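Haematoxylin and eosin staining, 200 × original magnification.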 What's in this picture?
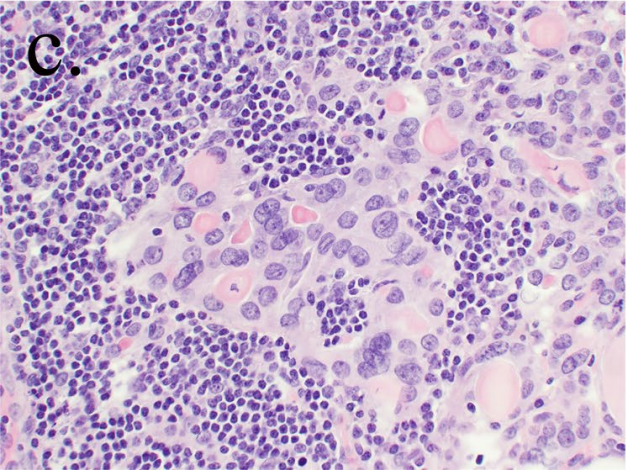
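Irregular groups of large epithelial cells with plentiful pink, finely granular cytoplasm lie within dense sheets of small, round, dark lymphocytes, with a few small pink droplets of colloid between them. The epithelial nuclei are much larger than the lymphocyte nuclei, pale, with uneven outlines rather than round, and they crowd and overlap. This is an oncocytic change of the epithelium with nuclear enlargement and loss of nuclear roundness amid a lymphocytic infiltrate.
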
